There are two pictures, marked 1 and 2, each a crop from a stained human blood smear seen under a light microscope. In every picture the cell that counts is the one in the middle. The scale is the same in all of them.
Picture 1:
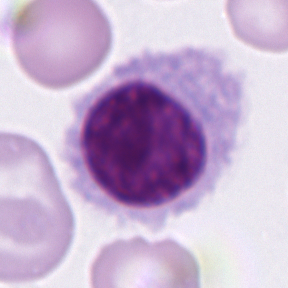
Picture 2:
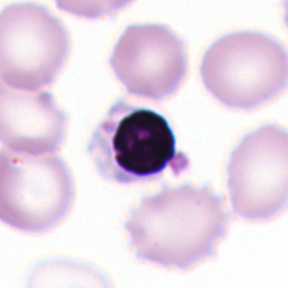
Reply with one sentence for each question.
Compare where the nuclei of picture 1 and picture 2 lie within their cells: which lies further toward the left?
The nucleus in picture 1 lies further toward the left of its cell.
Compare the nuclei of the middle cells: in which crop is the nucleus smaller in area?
Picture 2 shows the smaller nucleus, since that in picture 1 covers about 4 times as much area.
